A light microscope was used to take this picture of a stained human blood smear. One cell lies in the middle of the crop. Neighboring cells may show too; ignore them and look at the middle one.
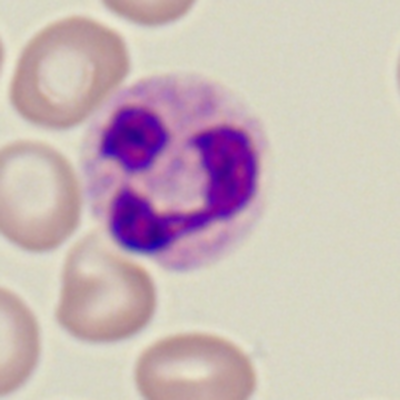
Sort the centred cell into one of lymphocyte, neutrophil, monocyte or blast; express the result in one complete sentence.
Of the cells in this crop, the central one is a neutrophil.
